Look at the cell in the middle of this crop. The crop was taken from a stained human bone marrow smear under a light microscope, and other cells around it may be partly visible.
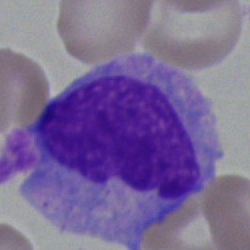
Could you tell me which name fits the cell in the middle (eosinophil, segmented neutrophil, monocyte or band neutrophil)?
monocyte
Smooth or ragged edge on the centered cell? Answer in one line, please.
Irregular rather than smooth, the cell margin shows ragged areas or projections.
